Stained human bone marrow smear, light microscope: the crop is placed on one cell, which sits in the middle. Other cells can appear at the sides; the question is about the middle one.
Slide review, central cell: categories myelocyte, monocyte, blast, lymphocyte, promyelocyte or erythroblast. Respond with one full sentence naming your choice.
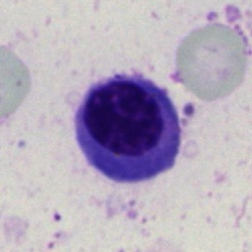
The cell of interest, located centrally, is an erythroblast.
